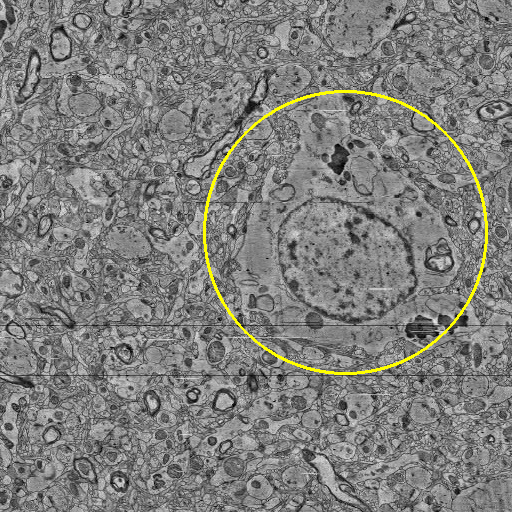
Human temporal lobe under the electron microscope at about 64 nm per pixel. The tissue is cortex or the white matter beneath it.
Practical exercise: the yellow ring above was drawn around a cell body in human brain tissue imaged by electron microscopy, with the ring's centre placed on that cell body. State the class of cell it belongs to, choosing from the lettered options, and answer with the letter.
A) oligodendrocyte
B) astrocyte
B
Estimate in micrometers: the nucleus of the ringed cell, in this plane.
Roughly 9 micrometres by 7 micrometres, in this plane.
